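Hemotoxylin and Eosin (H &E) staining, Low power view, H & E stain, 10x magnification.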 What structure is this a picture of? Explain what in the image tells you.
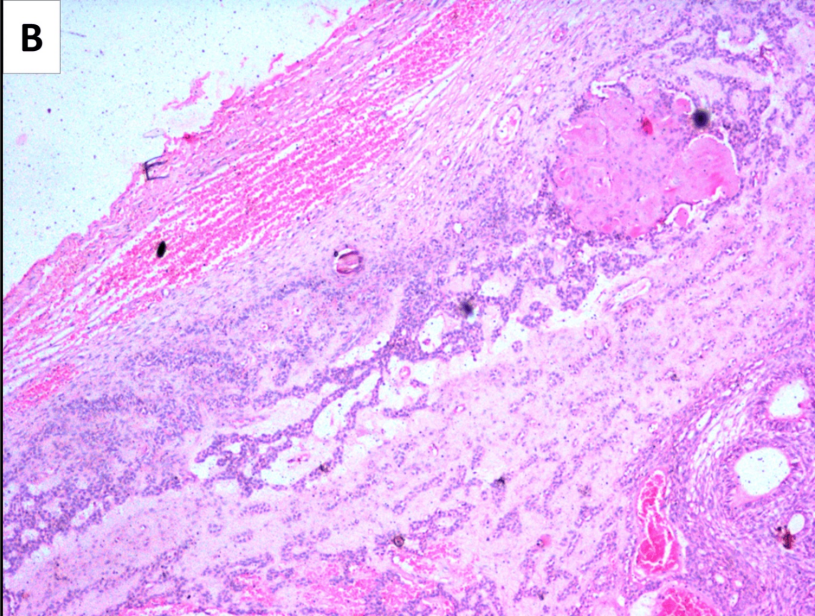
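Whorls, ducts, sheets, and cords. Purple cells form branching cords and solid sheets across the middle of the field. Small rounded and slit-like open spaces lined by cells suggest duct formation. A rounded pink nodular aggregate lies in the upper right.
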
